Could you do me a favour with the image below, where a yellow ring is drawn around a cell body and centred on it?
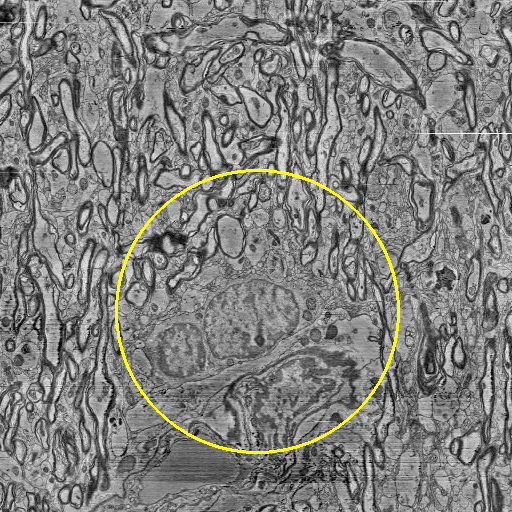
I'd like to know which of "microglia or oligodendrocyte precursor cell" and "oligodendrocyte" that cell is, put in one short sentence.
The cell at the ring's centre is an oligodendrocyte.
